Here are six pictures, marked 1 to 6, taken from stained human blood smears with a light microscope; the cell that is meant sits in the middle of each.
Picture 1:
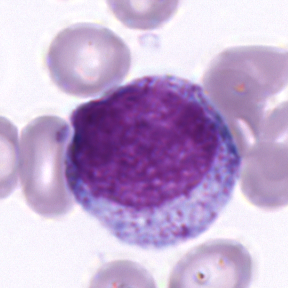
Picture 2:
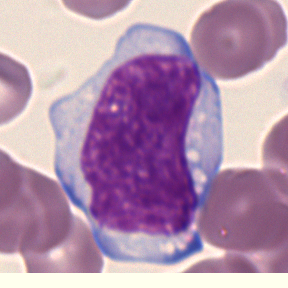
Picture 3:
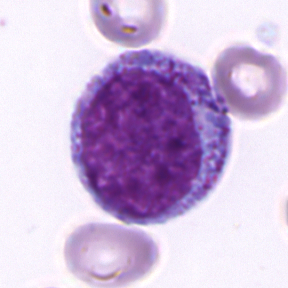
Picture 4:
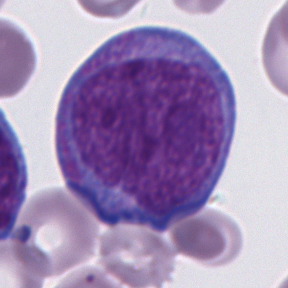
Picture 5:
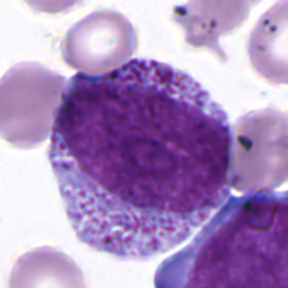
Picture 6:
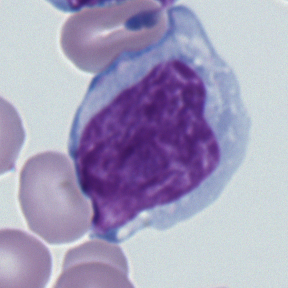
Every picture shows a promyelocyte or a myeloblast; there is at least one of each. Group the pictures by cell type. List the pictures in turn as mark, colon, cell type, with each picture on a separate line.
1: promyelocyte
2: myeloblast
3: promyelocyte
4: promyelocyte
5: promyelocyte
6: myeloblast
